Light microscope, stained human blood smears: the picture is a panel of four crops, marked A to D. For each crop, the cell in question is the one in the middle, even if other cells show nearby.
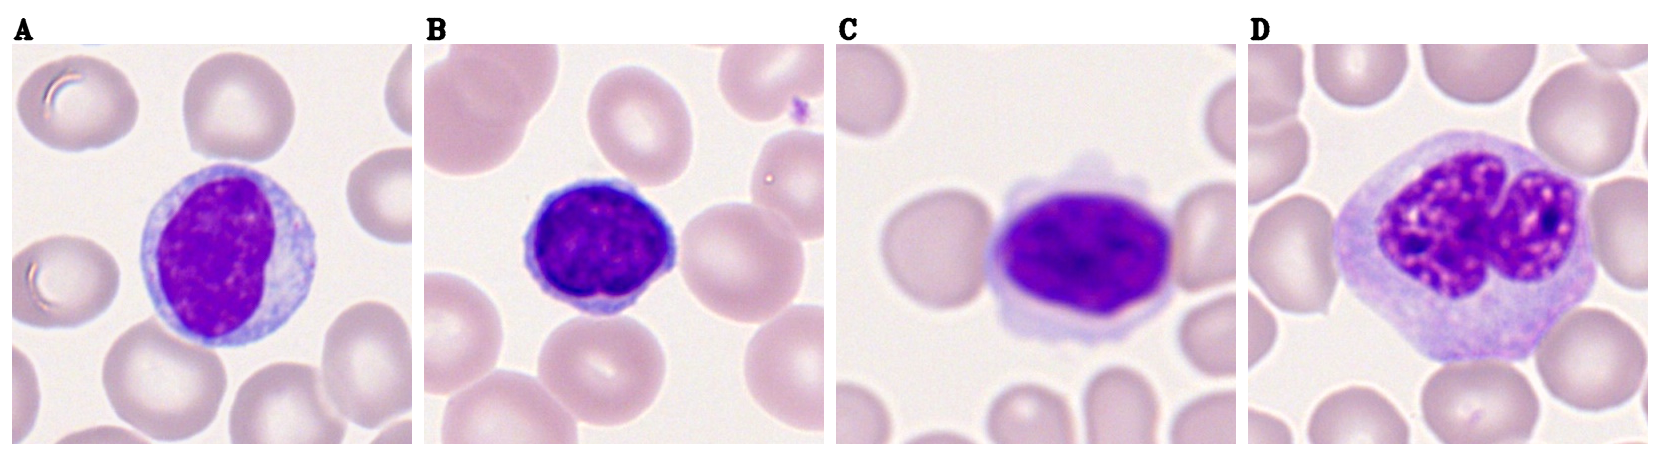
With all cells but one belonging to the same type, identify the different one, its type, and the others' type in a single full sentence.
Crop D is the one that is a monocyte, and the other crops all show lymphocytes.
